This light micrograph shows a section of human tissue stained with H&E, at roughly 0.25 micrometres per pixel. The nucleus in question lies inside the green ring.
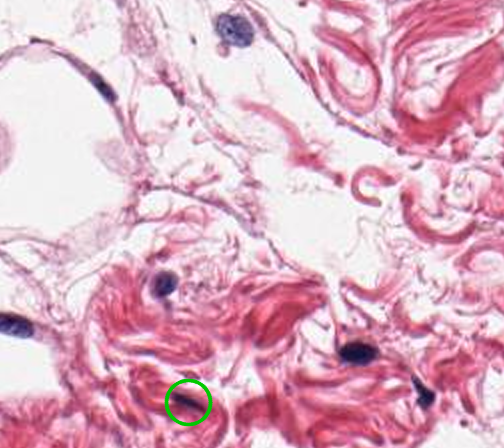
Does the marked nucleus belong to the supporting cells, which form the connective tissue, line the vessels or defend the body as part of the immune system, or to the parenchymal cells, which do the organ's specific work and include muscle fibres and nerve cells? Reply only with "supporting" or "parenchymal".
supporting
